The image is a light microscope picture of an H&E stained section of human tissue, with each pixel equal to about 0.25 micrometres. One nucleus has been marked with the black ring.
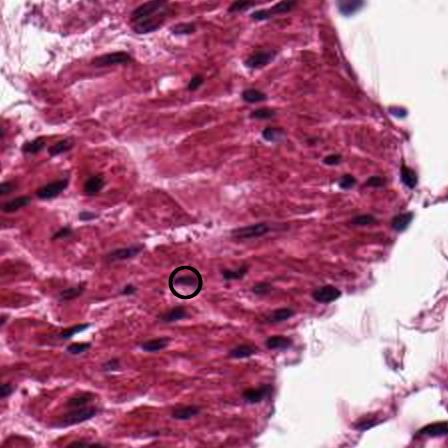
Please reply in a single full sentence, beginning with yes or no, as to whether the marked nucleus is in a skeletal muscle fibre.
No, the marked nucleus is not one from a skeletal muscle fibre.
